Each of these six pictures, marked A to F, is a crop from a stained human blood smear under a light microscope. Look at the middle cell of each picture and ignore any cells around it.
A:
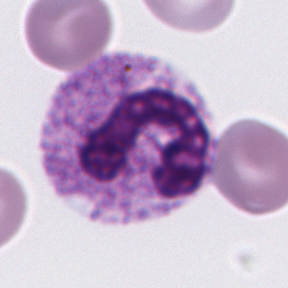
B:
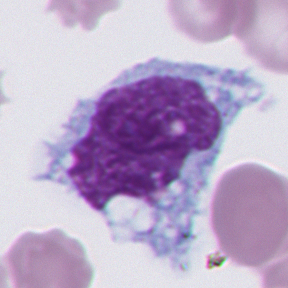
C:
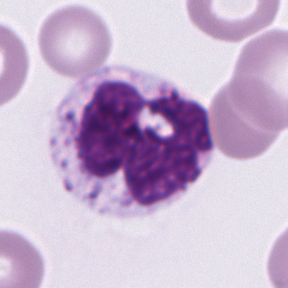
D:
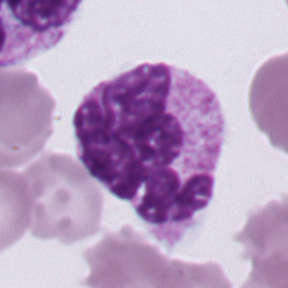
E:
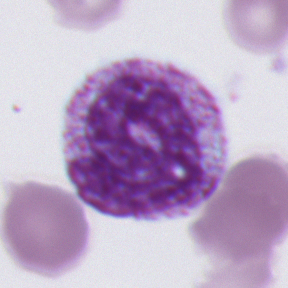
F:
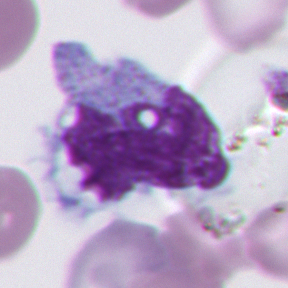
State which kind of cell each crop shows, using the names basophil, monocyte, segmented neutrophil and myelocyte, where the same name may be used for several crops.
A: segmented neutrophil
B: monocyte
C: basophil
D: segmented neutrophil
E: segmented neutrophil
F: monocyte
